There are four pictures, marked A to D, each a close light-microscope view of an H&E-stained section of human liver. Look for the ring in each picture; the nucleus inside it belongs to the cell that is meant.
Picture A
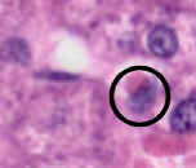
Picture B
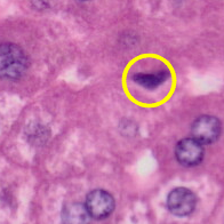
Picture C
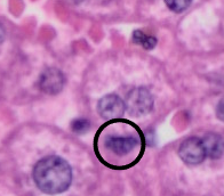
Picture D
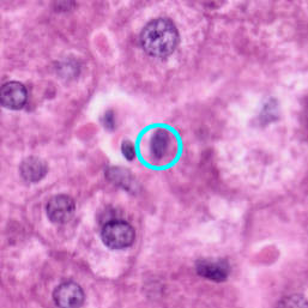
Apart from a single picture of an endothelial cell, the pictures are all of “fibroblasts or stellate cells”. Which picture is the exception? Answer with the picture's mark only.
A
